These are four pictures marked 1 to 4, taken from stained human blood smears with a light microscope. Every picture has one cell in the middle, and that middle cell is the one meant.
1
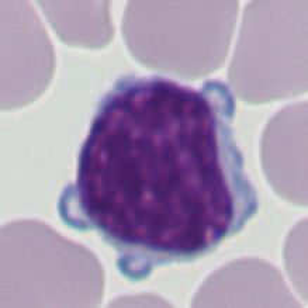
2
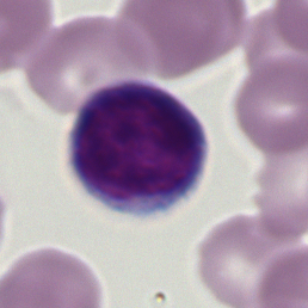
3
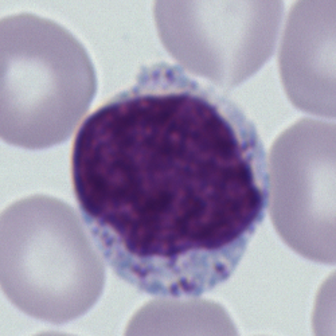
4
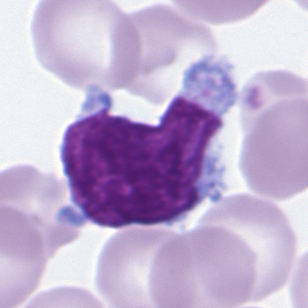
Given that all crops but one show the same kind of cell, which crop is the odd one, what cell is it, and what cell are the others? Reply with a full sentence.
Crop 3 breaks the pattern as a large granular lymphocyte; the other crops all contain typical lymphocytes.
